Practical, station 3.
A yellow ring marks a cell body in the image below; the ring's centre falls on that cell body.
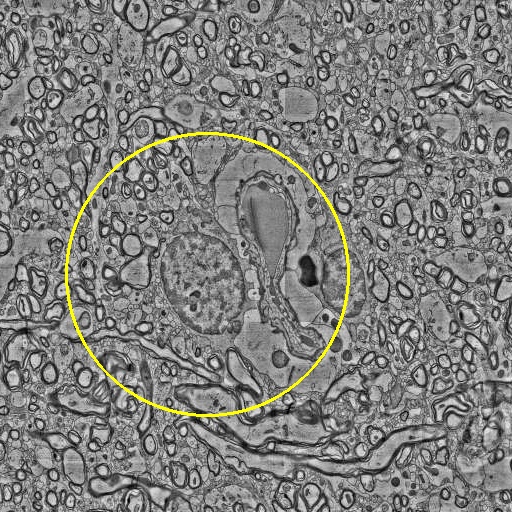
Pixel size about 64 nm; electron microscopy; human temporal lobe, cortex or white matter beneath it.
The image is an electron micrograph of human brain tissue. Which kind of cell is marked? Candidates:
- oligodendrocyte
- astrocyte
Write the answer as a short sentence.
The marked cell body is that of an oligodendrocyte.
